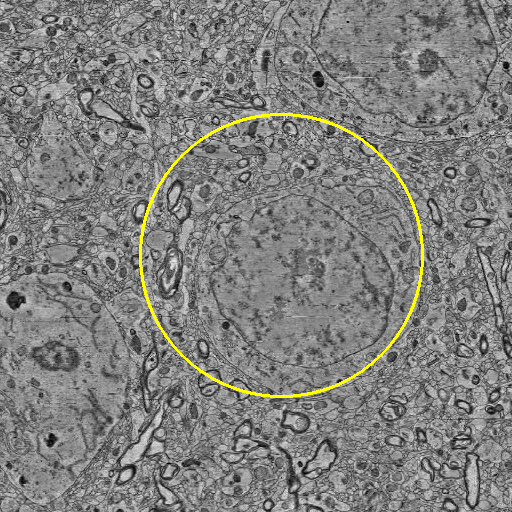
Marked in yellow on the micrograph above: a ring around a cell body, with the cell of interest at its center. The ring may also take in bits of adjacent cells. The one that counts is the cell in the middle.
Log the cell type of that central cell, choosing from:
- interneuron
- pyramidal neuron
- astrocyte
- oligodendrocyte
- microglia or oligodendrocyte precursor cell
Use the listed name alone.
pyramidal neuron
